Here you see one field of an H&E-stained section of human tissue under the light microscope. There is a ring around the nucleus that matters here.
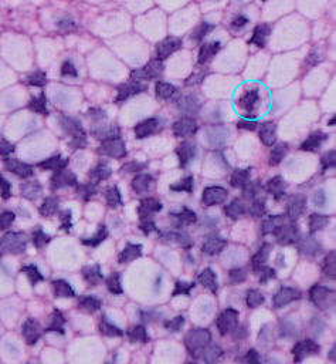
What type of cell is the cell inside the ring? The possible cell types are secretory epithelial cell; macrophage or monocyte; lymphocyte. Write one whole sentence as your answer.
It is a secretory epithelial cell that the cell inside the ring represents.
